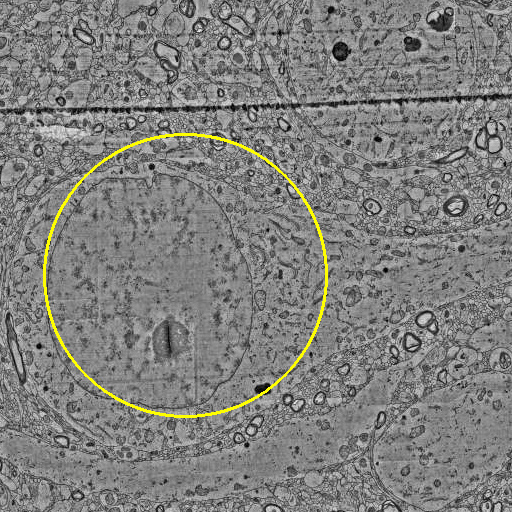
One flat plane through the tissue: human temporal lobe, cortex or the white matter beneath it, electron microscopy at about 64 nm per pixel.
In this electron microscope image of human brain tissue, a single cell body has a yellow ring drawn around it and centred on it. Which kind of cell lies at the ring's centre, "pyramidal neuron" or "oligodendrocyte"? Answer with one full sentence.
It is a pyramidal neuron whose cell body lies at the centre of the yellow ring here.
